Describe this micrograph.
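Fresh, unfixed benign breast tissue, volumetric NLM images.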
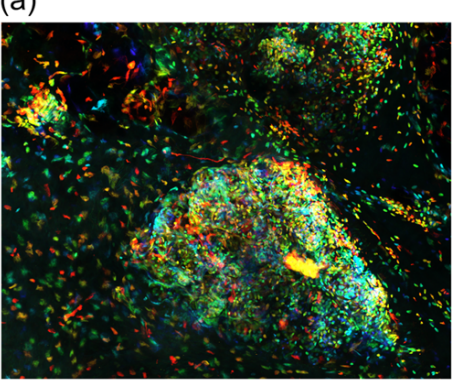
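Throughout the field lie scattered oval and spindle-shaped nuclei, many of them red, orange or green. A large irregular cluster of densely packed nuclei occupies the lower centre, with smaller clusters at the upper right and the left edge. Within the large cluster most nuclei are green to blue, with yellow and red nuclei along its upper rim. A bright yellow, irregular spot lies near the middle of the cluster.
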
